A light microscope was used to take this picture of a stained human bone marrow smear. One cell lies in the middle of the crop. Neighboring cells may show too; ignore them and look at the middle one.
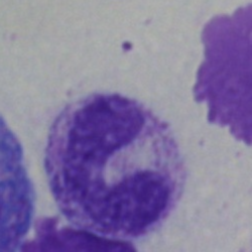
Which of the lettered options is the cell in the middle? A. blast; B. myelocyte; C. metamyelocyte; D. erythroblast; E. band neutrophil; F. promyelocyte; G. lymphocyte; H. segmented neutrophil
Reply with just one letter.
E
